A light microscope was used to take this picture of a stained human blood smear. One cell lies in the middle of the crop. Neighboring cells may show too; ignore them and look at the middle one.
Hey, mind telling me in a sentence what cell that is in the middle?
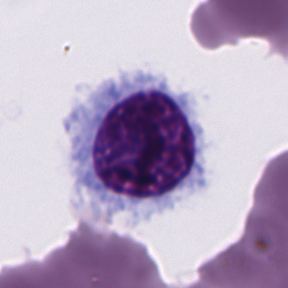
The target cell in the middle of the crop is a hairy cell.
